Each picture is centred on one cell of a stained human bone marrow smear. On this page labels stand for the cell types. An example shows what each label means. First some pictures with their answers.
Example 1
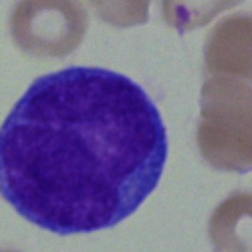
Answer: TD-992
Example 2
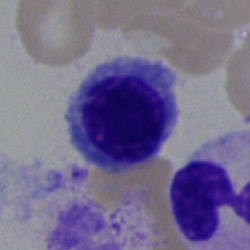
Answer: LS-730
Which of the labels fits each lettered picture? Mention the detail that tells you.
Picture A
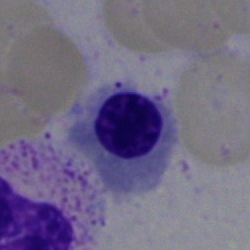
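LS-730. The chromatin is dark purple and coarsely clumped, with paler streaks between the clumps.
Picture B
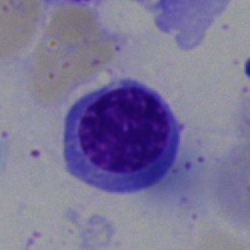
LS-730. The chromatin is coarse and clumped into dark patches.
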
